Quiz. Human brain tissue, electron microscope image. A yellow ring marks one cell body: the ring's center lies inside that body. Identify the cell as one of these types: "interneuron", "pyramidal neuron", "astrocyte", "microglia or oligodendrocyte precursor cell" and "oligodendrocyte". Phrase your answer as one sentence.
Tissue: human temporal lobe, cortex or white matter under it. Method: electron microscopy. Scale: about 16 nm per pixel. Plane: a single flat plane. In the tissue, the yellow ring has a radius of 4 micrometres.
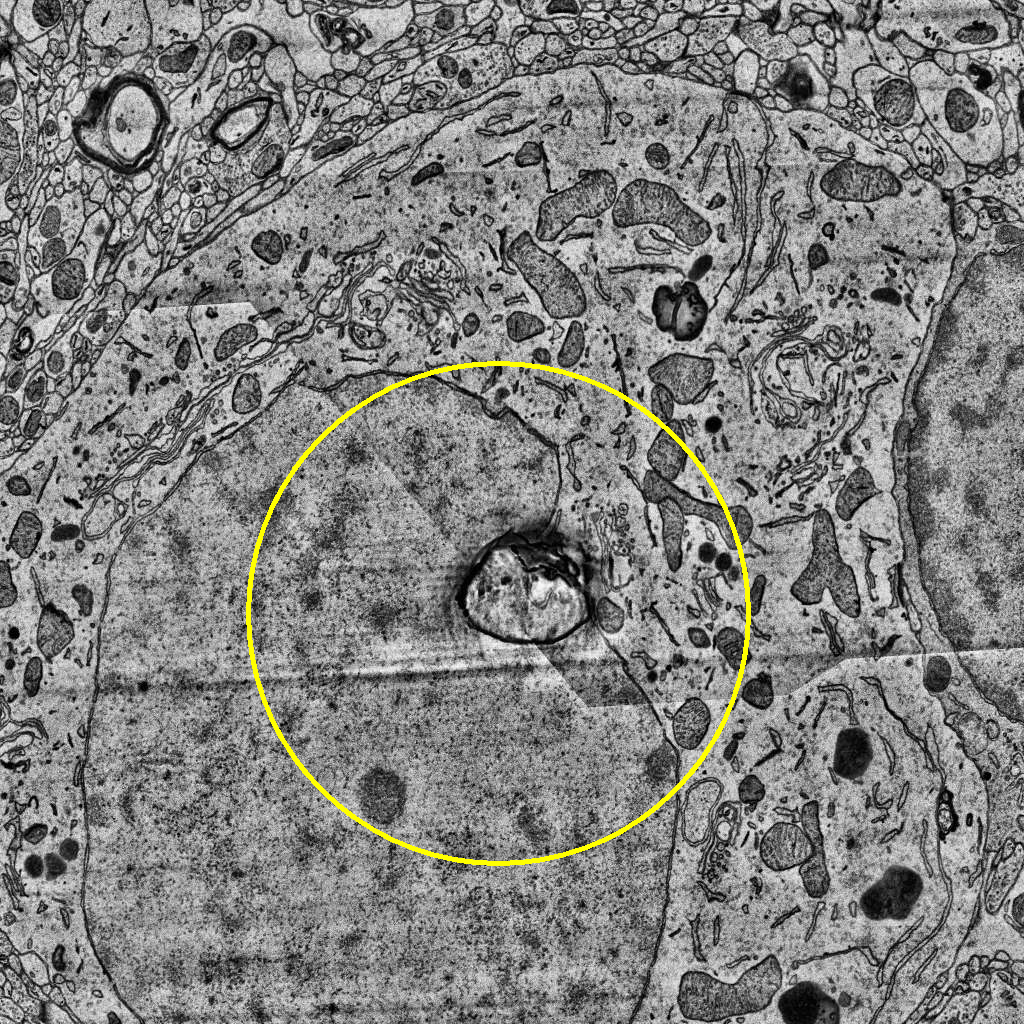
At the center of the ring sits an interneuron.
